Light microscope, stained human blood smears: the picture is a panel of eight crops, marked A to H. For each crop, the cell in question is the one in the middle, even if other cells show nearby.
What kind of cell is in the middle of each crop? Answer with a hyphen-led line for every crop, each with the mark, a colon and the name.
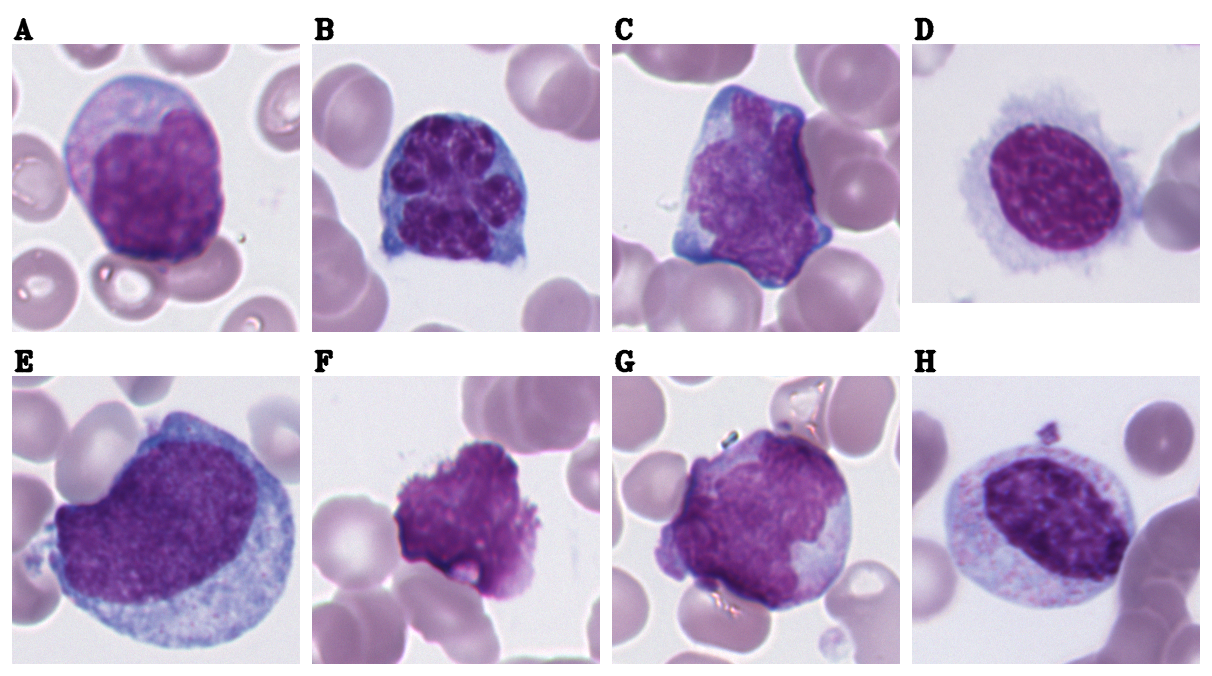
- A: atypical promyelocyte
- B: myeloblast
- C: myeloblast
- D: hairy cell
- E: promyelocyte
- F: smudge cell
- G: atypical promyelocyte
- H: myelocyte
